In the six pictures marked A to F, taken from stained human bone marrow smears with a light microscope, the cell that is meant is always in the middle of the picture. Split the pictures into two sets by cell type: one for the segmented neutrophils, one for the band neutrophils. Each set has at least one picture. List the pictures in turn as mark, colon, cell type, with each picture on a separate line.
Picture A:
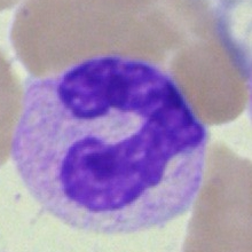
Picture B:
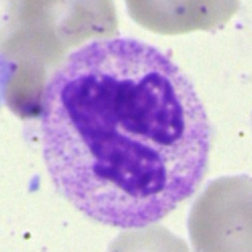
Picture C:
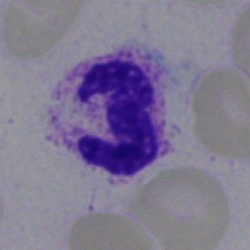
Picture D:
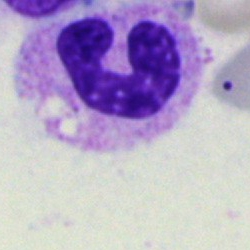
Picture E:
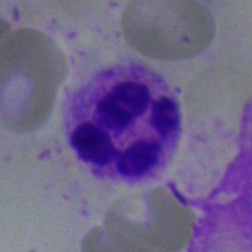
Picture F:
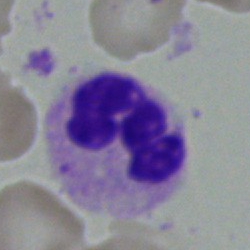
A: band neutrophil
B: band neutrophil
C: segmented neutrophil
D: band neutrophil
E: segmented neutrophil
F: segmented neutrophil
